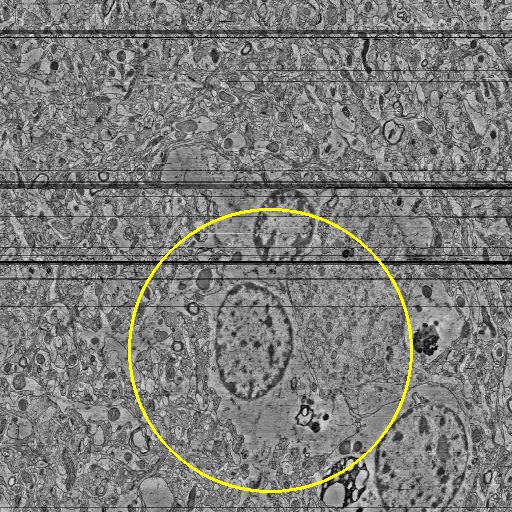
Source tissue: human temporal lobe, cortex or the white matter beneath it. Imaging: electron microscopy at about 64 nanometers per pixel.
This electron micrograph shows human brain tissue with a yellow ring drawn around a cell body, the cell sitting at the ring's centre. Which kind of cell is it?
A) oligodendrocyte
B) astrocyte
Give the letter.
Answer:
B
